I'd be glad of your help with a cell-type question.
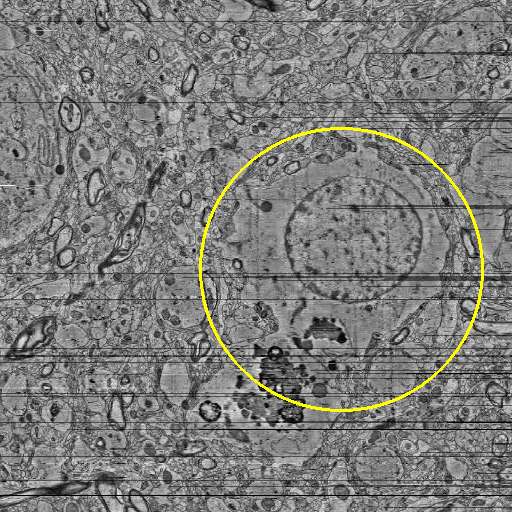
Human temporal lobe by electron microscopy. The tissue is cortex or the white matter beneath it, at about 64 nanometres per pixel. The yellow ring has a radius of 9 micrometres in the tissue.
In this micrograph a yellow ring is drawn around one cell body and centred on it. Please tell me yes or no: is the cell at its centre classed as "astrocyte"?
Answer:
yes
